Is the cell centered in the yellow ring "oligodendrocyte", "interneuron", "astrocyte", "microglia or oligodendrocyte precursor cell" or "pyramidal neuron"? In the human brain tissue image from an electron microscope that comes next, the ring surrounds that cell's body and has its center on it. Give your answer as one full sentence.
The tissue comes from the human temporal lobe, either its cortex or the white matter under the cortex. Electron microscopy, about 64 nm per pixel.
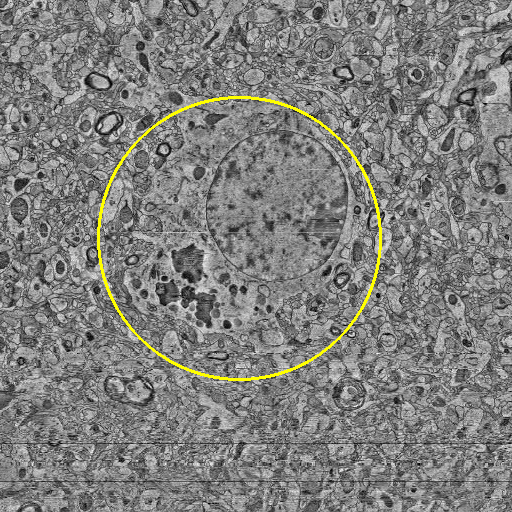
The cell at the center of the yellow ring is an astrocyte in the micrograph.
